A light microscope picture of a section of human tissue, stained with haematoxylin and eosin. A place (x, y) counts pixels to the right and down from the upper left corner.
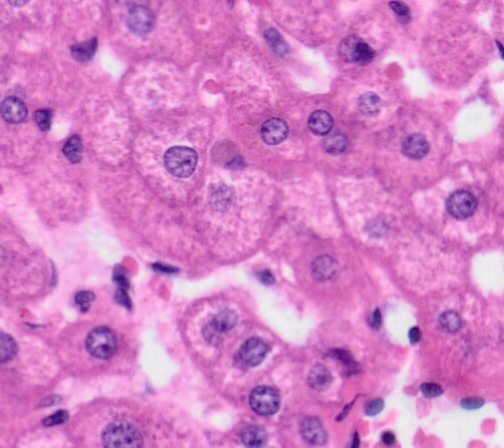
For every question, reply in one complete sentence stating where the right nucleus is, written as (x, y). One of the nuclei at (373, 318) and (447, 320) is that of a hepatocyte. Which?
Of the two nuclei, the one at (447, 320) belongs to a hepatocyte.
